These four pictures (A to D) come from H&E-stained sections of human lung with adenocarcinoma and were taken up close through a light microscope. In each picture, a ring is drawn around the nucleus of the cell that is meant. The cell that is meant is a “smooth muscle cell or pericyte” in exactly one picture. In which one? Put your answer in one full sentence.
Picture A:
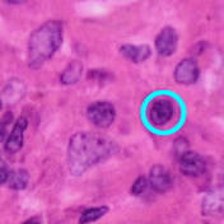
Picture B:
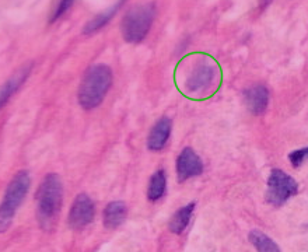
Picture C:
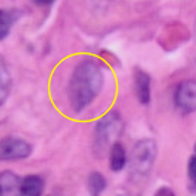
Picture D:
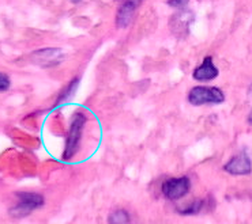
The picture with the “smooth muscle cell or pericyte” is B.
